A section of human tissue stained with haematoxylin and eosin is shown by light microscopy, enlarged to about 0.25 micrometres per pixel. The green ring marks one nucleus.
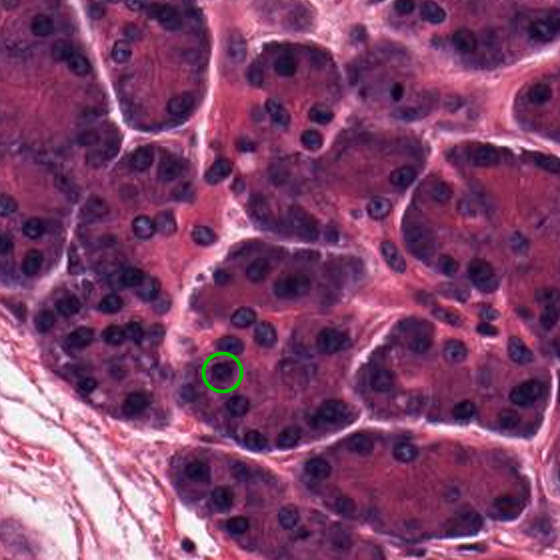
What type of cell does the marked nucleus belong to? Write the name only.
pancreatic acinar cell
